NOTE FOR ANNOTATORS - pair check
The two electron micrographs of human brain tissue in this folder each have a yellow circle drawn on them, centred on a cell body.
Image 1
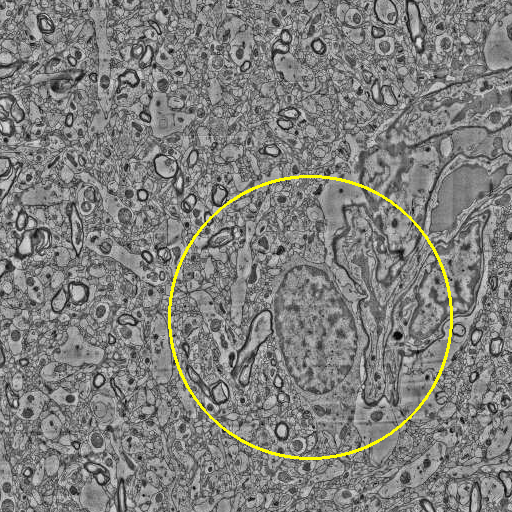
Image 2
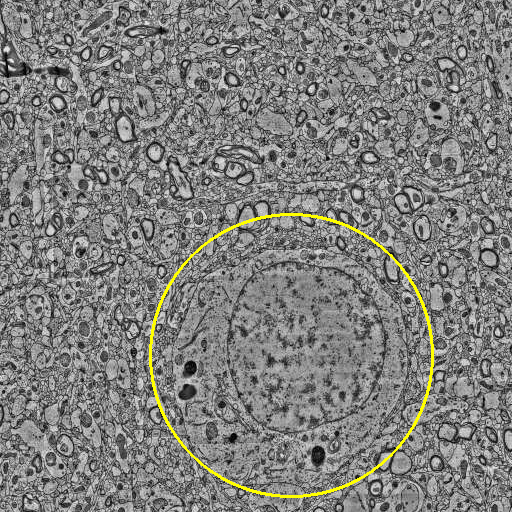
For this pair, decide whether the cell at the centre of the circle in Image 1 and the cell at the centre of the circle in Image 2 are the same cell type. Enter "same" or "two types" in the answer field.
two types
